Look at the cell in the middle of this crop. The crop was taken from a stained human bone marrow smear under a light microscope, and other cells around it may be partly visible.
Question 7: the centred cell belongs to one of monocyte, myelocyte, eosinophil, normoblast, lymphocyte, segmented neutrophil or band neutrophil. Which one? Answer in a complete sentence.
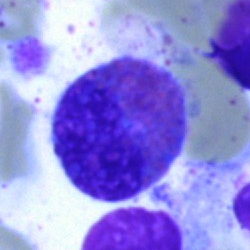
This crop is built around an eosinophil at its centre.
